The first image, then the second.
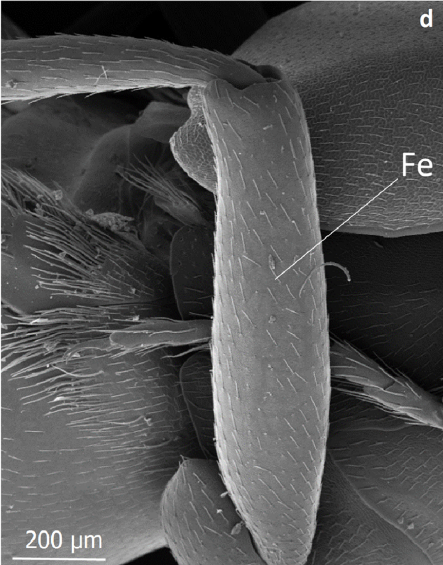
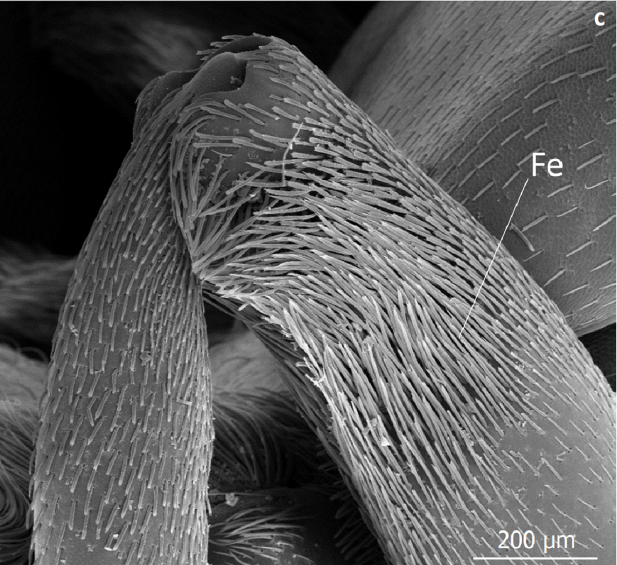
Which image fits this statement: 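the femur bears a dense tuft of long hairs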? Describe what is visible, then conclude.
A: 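The second image. First image: the femur surface is smooth with only sparse, short, scattered bristles. Second image: the femur is covered by a dense mass of long, curved hairs.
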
